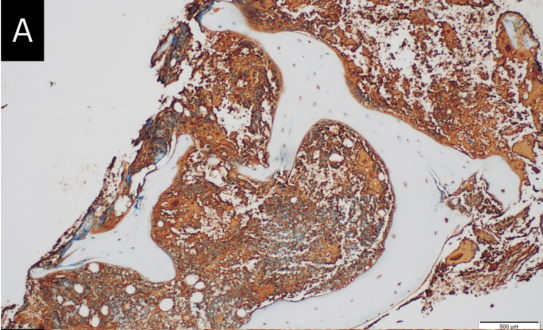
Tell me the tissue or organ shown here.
Bone marrow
